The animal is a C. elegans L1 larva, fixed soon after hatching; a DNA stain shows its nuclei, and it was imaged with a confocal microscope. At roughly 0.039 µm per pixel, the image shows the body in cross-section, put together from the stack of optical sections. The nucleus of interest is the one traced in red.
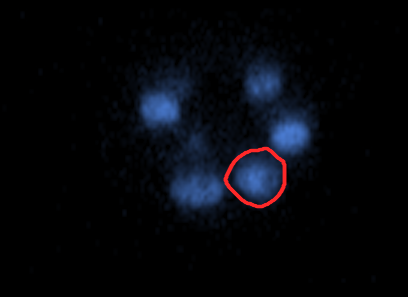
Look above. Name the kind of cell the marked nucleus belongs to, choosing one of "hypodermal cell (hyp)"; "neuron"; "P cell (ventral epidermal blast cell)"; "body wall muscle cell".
P cell (ventral epidermal blast cell)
